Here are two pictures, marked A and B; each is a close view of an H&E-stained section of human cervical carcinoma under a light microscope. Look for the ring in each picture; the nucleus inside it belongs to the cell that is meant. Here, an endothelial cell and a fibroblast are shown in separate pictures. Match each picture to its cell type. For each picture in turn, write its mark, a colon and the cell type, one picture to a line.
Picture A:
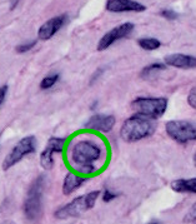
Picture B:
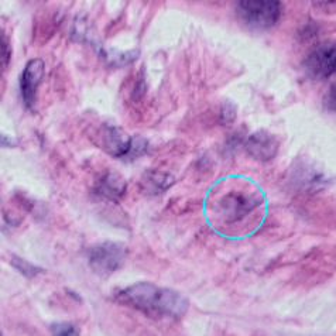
A: endothelial cell
B: fibroblast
